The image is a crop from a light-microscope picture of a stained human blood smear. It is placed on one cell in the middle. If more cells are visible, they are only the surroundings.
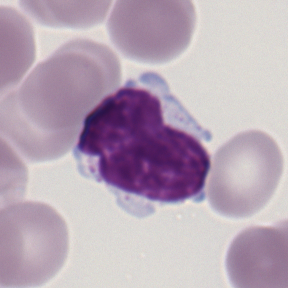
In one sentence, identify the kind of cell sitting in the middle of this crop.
The central cell in this smear crop is a large granular lymphocyte.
